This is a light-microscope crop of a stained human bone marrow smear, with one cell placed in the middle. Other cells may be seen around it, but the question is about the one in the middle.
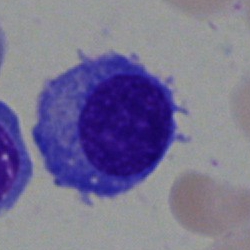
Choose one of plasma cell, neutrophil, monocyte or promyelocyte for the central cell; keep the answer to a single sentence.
The target cell in the middle of the crop is a plasma cell.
